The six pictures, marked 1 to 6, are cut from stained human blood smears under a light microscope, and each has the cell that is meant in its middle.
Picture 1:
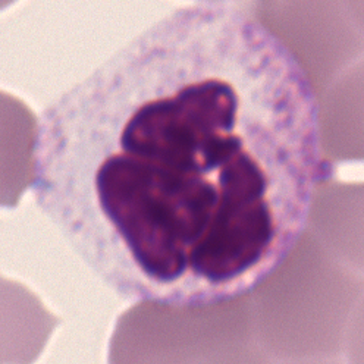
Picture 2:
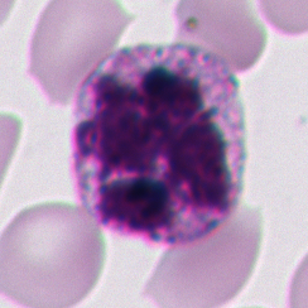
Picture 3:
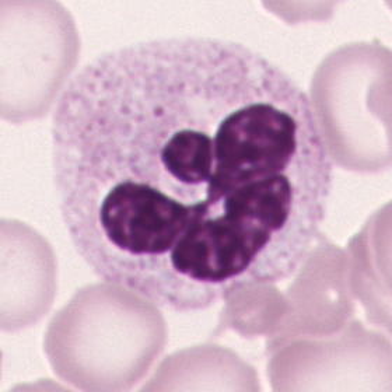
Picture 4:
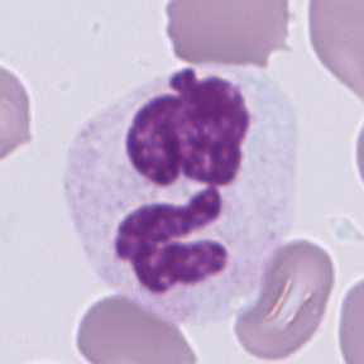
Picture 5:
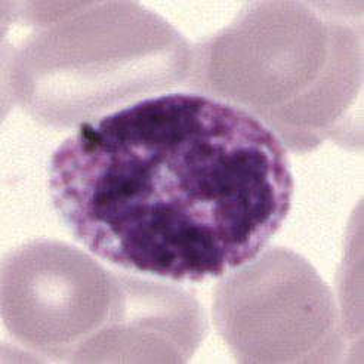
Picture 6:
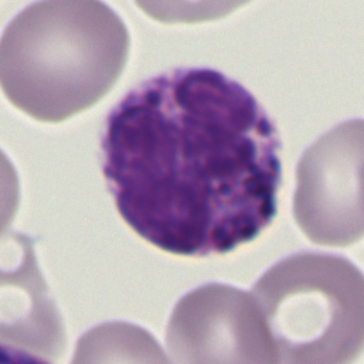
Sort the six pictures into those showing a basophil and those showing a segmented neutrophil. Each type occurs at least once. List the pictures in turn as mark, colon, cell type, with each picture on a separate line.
1: segmented neutrophil
2: basophil
3: segmented neutrophil
4: segmented neutrophil
5: basophil
6: basophil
